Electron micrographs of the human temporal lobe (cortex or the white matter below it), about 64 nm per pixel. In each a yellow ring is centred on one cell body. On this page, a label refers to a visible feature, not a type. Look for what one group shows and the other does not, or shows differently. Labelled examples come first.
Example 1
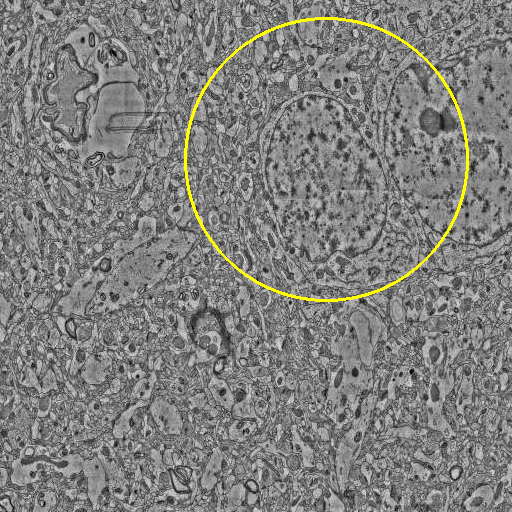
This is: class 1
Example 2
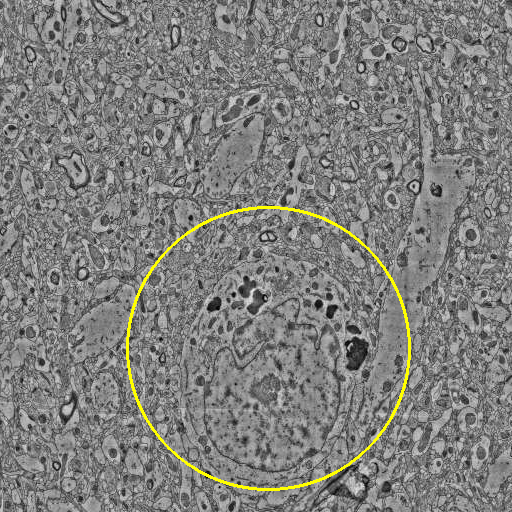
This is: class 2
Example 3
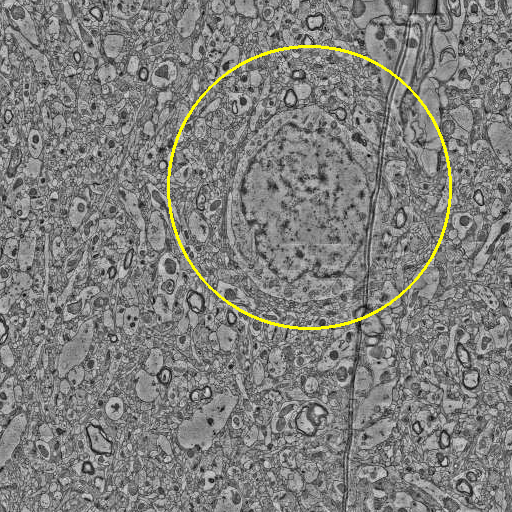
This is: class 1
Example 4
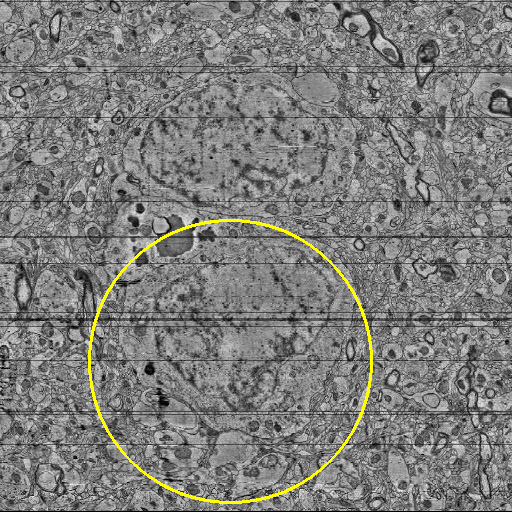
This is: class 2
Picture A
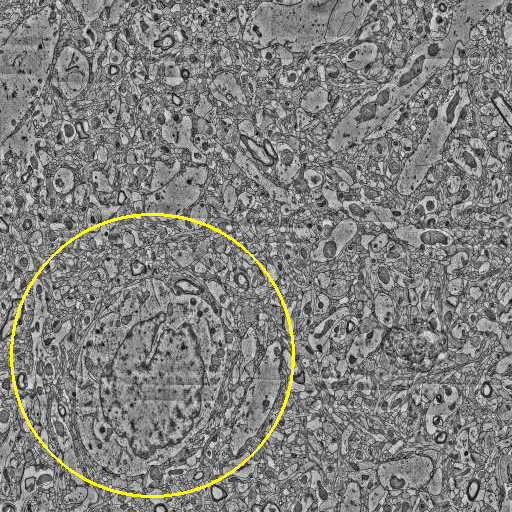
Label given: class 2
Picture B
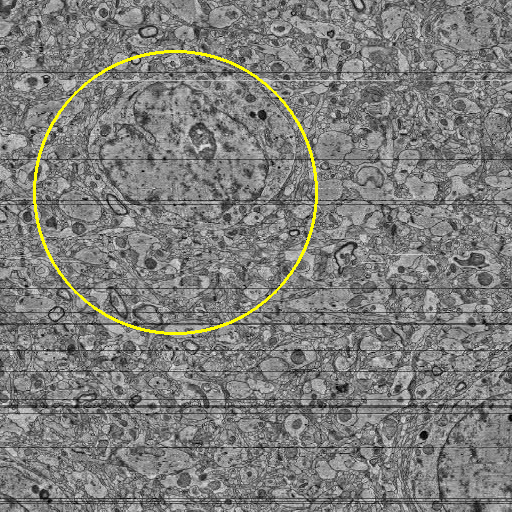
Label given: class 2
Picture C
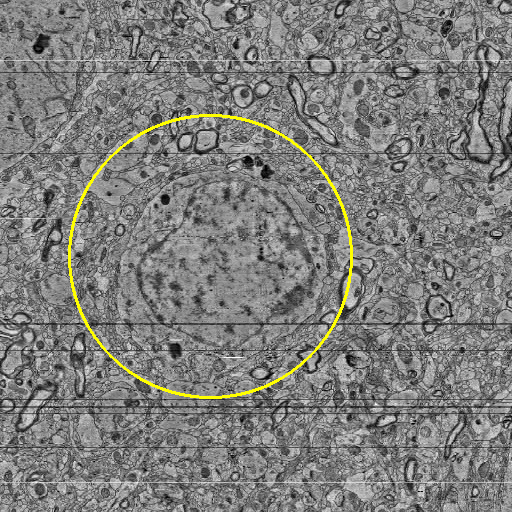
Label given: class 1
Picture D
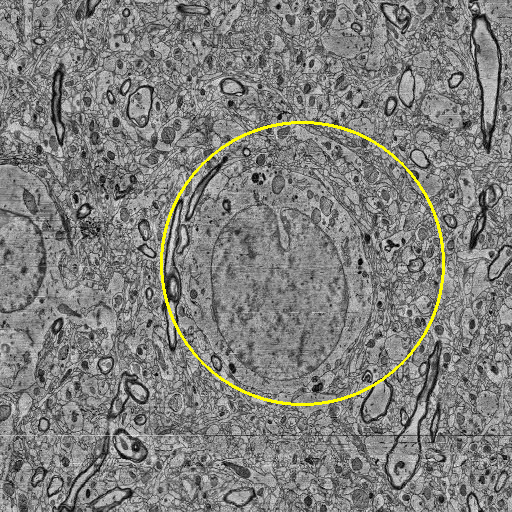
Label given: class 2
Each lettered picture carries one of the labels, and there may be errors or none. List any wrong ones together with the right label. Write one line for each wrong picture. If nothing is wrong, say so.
All labels are correct.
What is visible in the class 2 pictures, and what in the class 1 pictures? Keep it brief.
class 2, deeply folded or indented nuclear envelopes; class 1, smooth nuclear envelopes without deep folds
